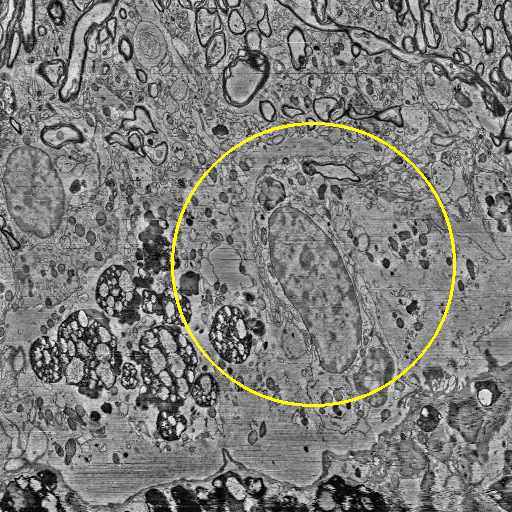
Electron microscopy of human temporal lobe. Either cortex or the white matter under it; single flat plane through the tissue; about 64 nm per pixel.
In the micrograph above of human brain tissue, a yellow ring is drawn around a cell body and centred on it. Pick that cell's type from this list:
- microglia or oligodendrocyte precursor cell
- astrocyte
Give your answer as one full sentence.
Going by the list, a microglial cell or oligodendrocyte precursor cell is the cell on which the yellow ring is centred.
